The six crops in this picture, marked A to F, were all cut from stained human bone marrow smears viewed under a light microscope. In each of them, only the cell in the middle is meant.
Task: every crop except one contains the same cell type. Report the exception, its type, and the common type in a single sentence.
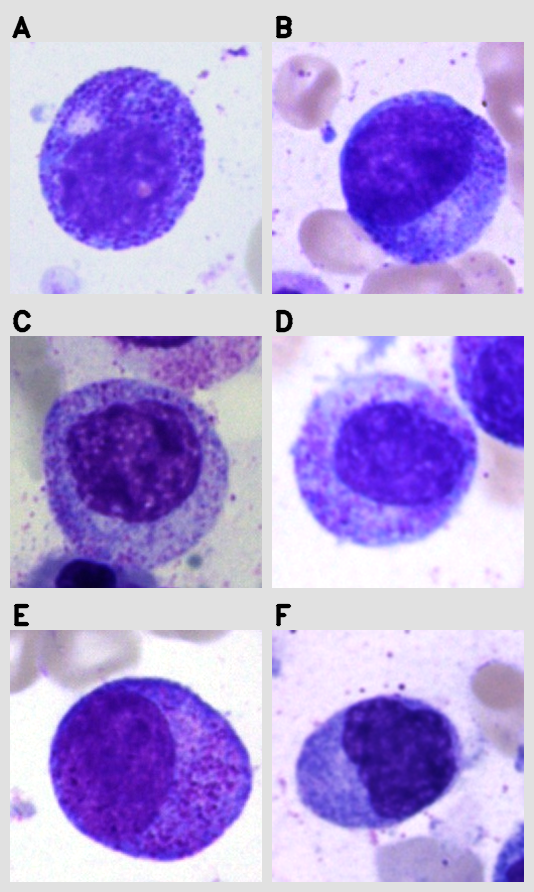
Among the crops, crop F is unique in showing a monocyte; the others show promyelocytes.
